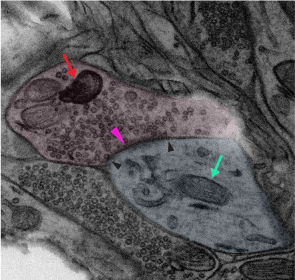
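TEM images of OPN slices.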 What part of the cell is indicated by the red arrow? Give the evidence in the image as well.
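Mitochondria. The red arrow points to a very dark elongated organelle within the pink-shaded vesicle-filled profile.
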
